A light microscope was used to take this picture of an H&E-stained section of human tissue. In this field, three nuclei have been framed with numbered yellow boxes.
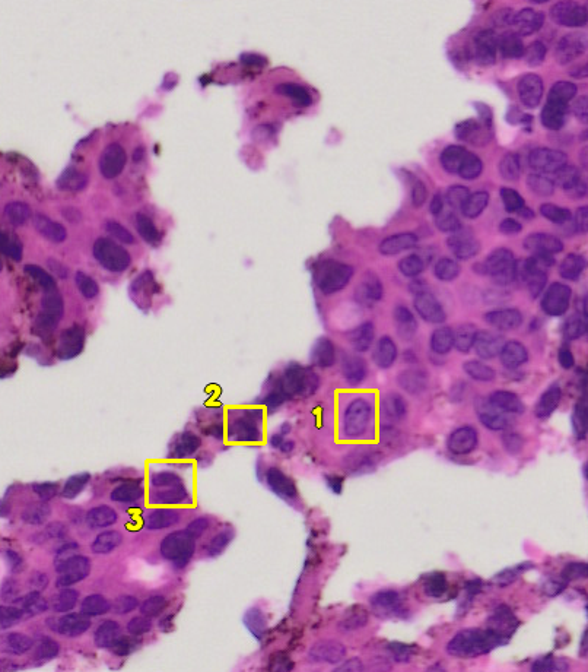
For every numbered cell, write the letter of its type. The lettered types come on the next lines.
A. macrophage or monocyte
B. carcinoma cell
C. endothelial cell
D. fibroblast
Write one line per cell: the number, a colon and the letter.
1: A
2: B
3: B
